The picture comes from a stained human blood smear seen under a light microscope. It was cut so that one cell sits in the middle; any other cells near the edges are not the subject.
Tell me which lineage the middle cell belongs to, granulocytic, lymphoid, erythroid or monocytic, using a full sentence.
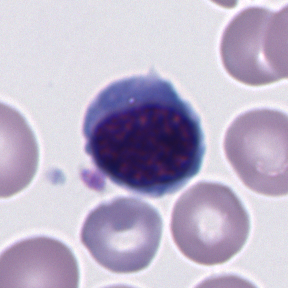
In terms of lineage, the cell in the middle is erythroid.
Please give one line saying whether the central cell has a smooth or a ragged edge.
Not smooth, the outline of the cell is ragged or drawn out into projections.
